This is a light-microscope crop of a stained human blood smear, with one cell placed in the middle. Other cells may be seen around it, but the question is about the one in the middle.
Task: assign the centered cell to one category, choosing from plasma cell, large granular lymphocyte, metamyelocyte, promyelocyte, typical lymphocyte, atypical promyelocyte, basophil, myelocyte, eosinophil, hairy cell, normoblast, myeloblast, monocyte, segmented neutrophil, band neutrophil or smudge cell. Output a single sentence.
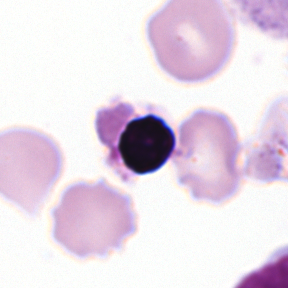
The cell marked by its central position in the crop is a normoblast.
